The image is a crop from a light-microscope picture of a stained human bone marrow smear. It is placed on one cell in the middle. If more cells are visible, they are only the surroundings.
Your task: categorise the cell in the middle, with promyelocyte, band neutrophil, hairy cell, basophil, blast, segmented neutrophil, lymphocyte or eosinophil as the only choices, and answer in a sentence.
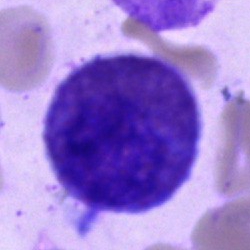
The identification for the central cell is an eosinophil.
